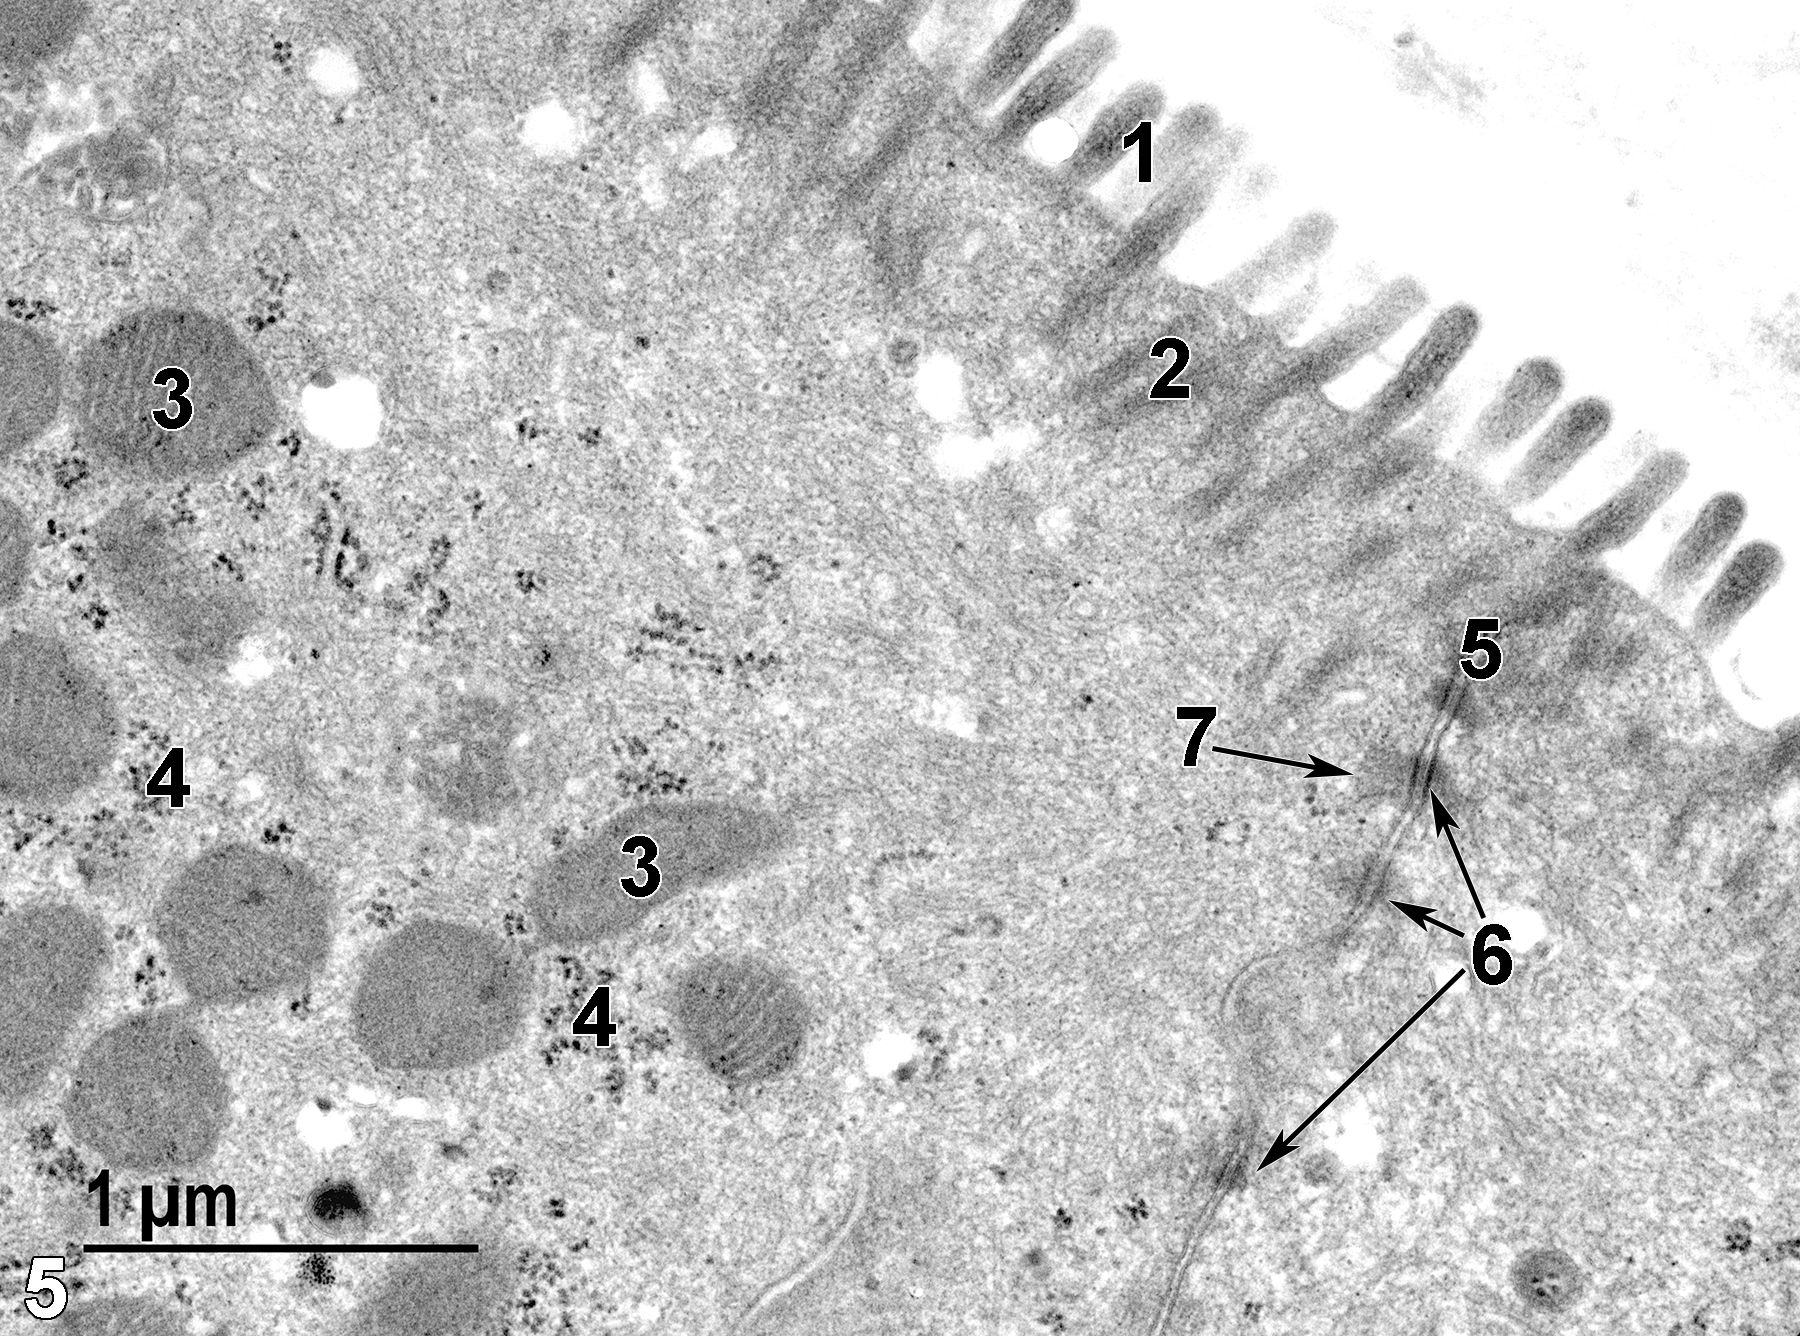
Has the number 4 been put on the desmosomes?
No: the free ribosomes.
